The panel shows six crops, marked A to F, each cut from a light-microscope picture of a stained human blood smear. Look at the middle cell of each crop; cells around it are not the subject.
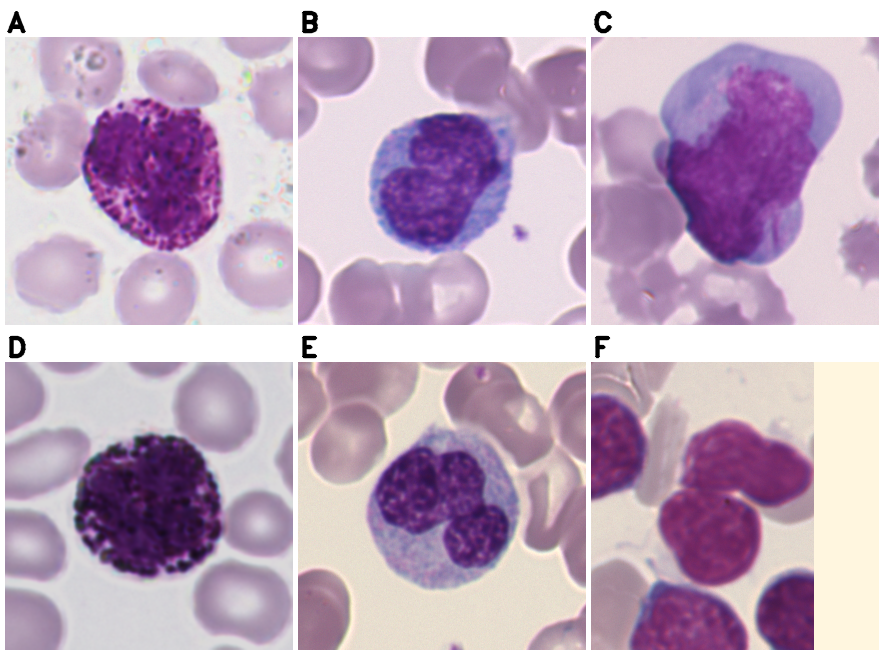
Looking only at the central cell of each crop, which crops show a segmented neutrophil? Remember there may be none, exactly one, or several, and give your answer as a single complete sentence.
In no crop of this set is a segmented neutrophil to be seen.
